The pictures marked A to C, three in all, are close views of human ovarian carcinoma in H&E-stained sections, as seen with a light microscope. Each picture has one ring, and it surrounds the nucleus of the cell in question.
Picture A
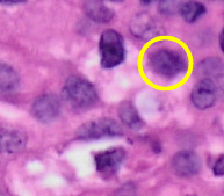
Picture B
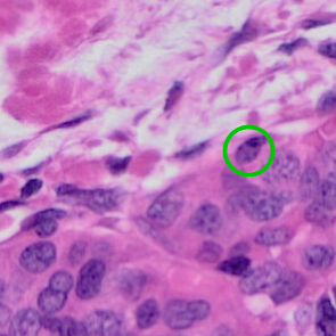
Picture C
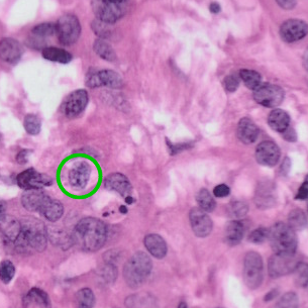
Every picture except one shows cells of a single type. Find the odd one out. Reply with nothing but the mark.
A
